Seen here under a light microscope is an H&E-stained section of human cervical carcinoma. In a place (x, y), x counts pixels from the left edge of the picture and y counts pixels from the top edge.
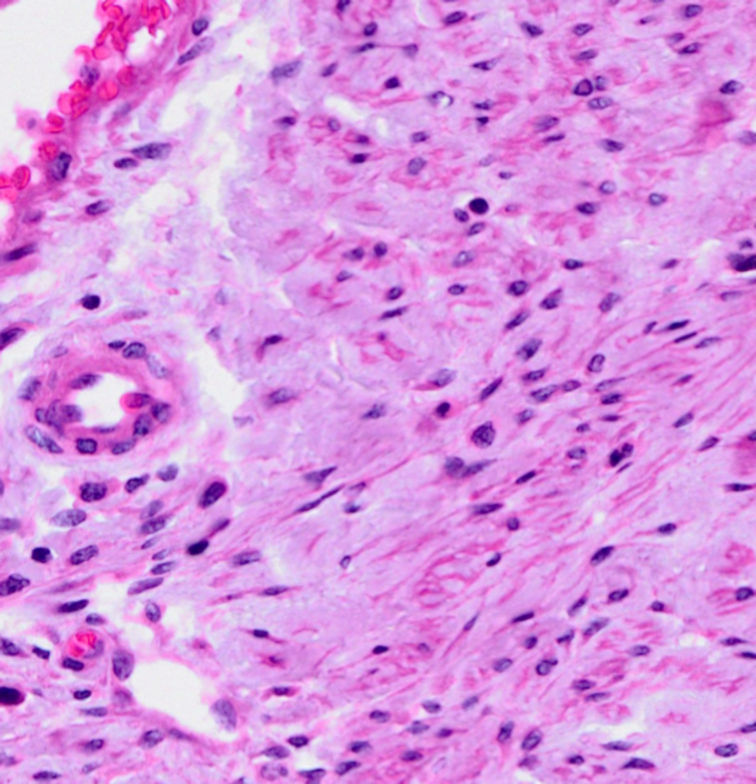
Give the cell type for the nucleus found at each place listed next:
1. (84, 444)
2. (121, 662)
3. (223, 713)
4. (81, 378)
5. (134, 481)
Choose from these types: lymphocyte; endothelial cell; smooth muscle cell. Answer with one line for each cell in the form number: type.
1: smooth muscle cell
2: endothelial cell
3: endothelial cell
4: endothelial cell
5: lymphocyte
